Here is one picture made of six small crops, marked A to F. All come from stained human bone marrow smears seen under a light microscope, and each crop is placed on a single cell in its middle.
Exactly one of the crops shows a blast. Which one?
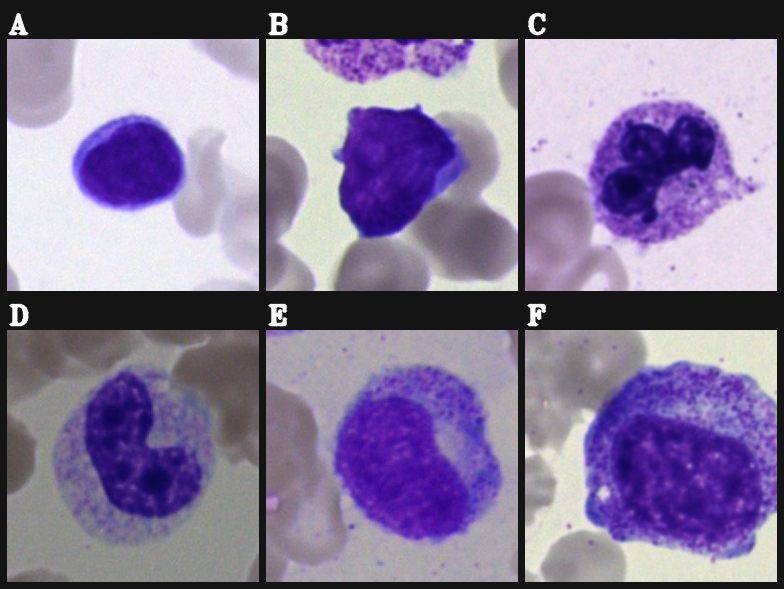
B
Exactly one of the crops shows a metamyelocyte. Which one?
E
